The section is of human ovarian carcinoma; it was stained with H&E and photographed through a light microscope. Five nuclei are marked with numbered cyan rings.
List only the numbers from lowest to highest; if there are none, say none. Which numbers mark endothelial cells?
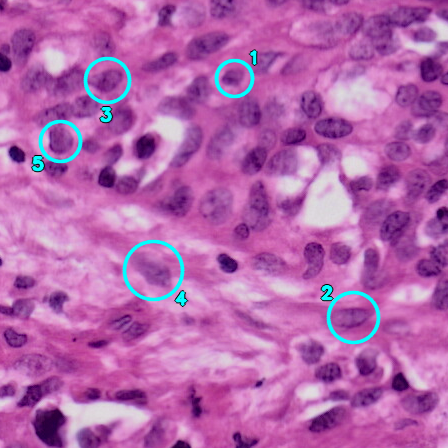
2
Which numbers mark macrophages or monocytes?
1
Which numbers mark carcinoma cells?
3, 5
